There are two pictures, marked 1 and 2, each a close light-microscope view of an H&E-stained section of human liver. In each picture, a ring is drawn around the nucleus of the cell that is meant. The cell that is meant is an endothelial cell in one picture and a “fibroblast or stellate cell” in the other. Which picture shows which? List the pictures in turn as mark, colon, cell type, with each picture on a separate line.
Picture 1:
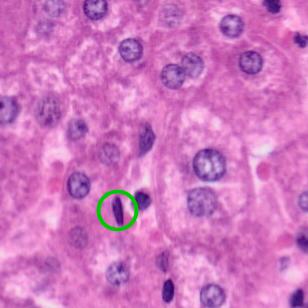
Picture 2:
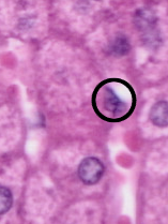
1: fibroblast or stellate cell
2: endothelial cell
